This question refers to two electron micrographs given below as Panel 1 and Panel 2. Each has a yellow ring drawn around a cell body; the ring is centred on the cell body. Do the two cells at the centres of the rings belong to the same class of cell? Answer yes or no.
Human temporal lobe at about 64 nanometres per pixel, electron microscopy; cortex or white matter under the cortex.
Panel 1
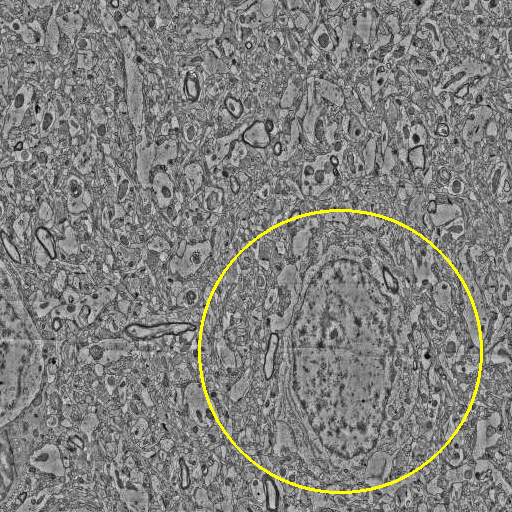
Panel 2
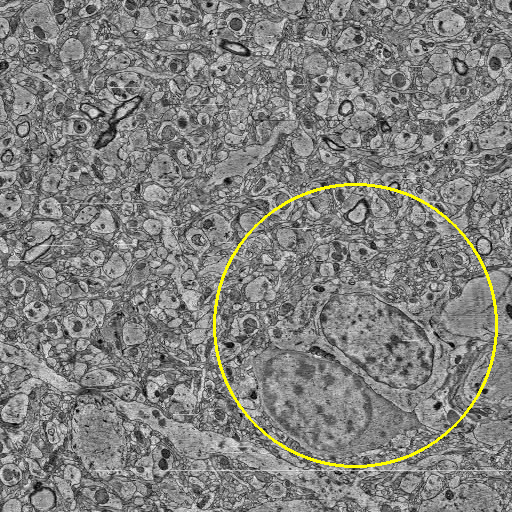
no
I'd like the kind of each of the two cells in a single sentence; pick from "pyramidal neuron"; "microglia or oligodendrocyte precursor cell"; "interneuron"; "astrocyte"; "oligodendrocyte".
The first ring marks an interneuron, and the second ring marks a microglial cell or oligodendrocyte precursor cell.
